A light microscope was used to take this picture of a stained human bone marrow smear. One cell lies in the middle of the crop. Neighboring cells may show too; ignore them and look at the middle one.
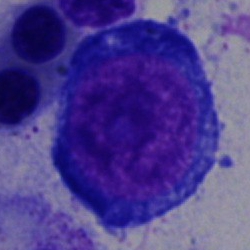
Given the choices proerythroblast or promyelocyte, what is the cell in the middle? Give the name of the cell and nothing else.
proerythroblast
